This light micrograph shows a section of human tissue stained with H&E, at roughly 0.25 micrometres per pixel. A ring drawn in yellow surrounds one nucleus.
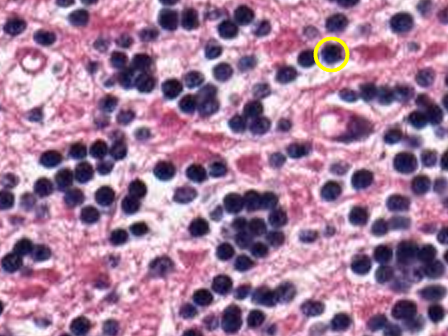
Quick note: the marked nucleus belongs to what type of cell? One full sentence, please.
The marked nucleus, in this picture, belongs to a cerebellar granule cell.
